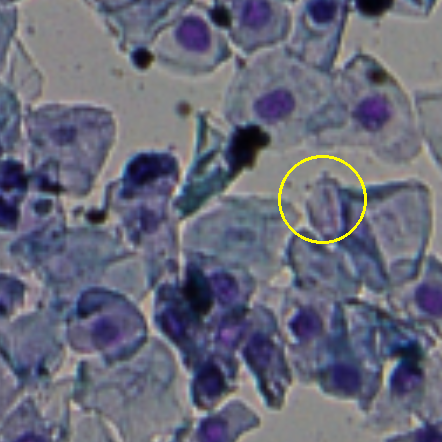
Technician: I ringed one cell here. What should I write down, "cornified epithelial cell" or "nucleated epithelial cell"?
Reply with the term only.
cornified epithelial cell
